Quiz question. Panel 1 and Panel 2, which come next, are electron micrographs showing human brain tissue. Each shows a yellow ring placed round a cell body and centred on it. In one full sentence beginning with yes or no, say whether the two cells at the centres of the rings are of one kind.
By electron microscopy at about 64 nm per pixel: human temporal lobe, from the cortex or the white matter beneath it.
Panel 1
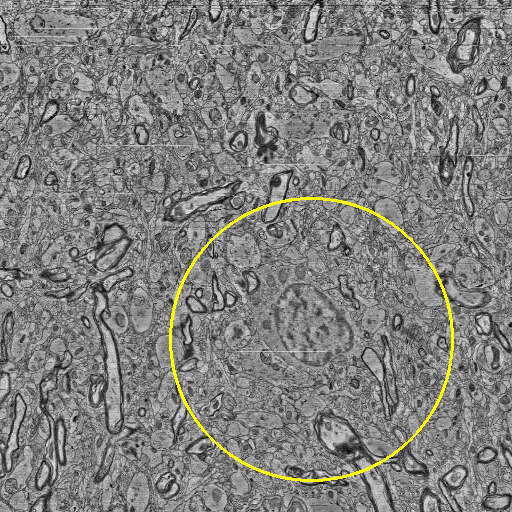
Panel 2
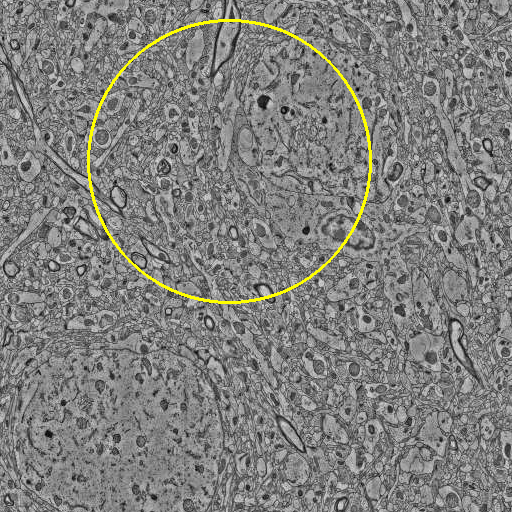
No, Panel 1 and Panel 2 show two kinds of cell at the centre of the ring.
